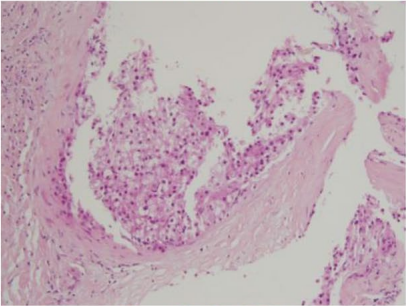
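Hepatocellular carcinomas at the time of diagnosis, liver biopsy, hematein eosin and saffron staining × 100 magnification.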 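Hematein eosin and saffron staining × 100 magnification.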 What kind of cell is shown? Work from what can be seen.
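Tumor cells have pale, nearly empty-looking cytoplasm. Small dark nuclei sit within pale cells. Tumor cell nests lie beside bands of dense pink fibrous tissue.
Clear cells.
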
